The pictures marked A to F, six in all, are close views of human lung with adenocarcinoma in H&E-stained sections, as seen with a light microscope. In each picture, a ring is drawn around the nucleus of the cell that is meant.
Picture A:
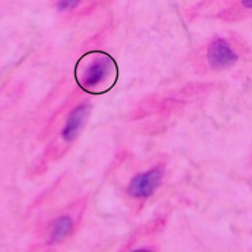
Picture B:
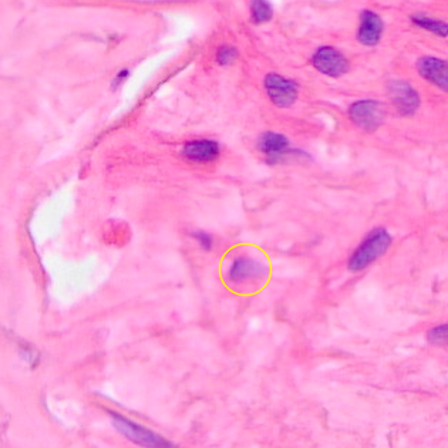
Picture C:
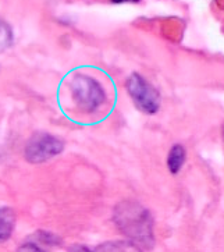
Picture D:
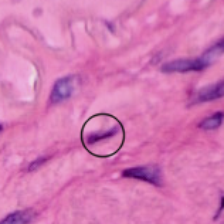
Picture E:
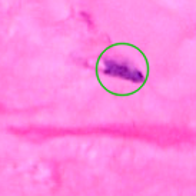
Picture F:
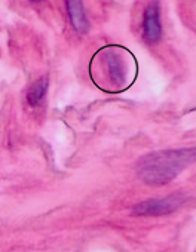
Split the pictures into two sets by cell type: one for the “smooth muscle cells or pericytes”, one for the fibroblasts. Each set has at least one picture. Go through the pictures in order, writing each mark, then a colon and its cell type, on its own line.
A: smooth muscle cell or pericyte
B: smooth muscle cell or pericyte
C: fibroblast
D: smooth muscle cell or pericyte
E: fibroblast
F: smooth muscle cell or pericyte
